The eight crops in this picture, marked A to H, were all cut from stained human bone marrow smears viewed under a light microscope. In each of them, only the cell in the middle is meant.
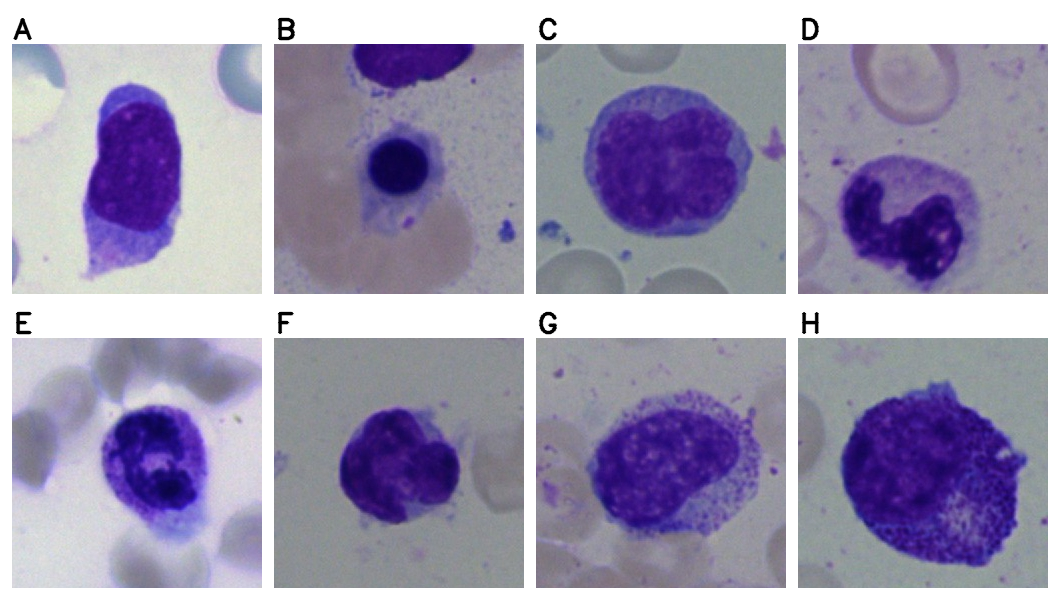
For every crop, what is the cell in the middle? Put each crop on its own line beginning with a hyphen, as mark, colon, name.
- A: blast
- B: erythroblast
- C: blast
- D: segmented neutrophil
- E: segmented neutrophil
- F: lymphocyte
- G: metamyelocyte
- H: promyelocyte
